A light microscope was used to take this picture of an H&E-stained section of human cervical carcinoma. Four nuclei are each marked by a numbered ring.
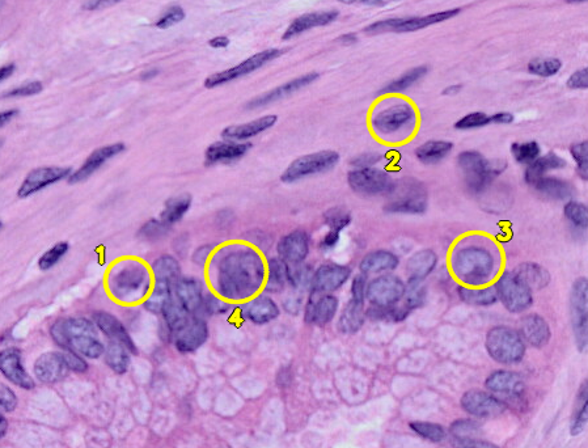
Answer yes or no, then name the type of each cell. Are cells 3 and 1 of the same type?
Yes, both are secretory epithelial cells.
